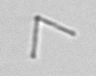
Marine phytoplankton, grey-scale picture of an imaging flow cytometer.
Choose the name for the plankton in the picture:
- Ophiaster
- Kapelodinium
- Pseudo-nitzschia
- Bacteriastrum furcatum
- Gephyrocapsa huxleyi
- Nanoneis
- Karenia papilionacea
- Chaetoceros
Nanoneis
